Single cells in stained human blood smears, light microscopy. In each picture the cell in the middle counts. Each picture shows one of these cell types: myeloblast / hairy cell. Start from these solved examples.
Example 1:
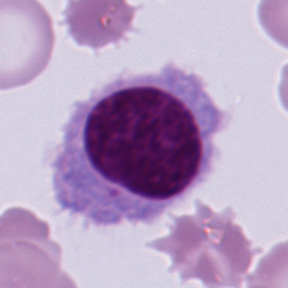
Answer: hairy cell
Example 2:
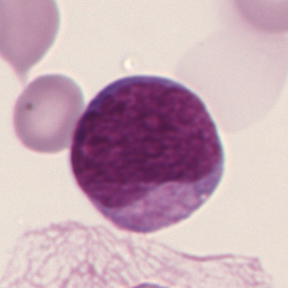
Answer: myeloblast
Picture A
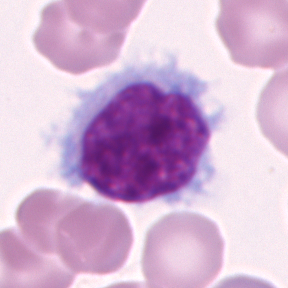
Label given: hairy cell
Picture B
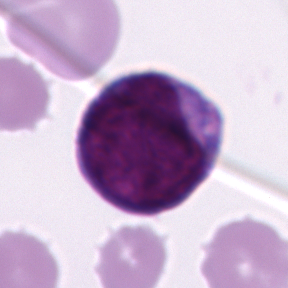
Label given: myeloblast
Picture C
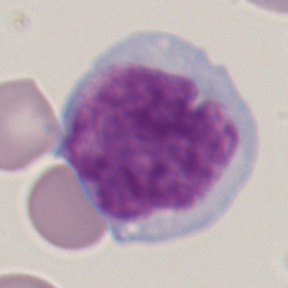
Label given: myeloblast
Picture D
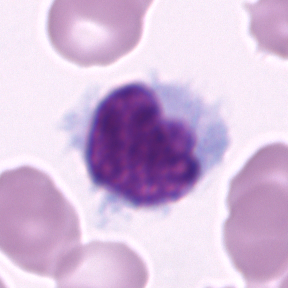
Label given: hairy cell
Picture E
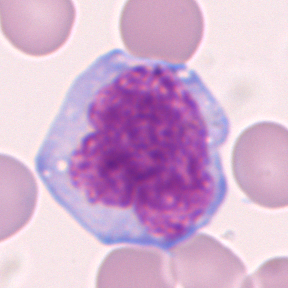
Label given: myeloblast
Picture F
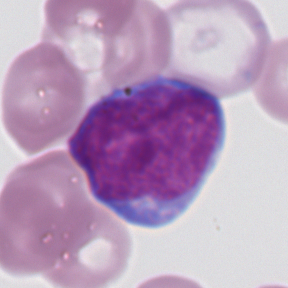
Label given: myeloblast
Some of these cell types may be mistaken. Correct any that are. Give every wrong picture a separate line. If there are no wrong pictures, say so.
None of the labels needs changing.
